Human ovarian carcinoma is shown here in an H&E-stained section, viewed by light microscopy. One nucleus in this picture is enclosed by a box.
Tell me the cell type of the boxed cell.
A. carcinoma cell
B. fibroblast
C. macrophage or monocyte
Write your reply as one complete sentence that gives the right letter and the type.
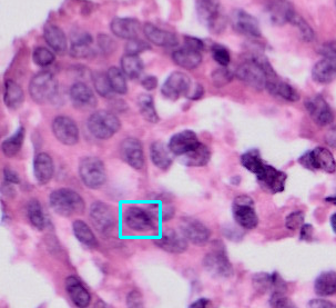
Option A is right, and the boxed cell is a carcinoma cell.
